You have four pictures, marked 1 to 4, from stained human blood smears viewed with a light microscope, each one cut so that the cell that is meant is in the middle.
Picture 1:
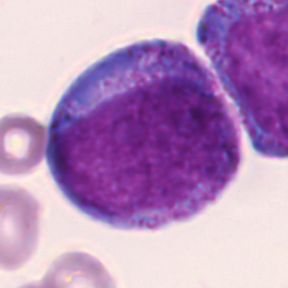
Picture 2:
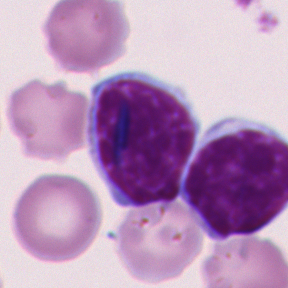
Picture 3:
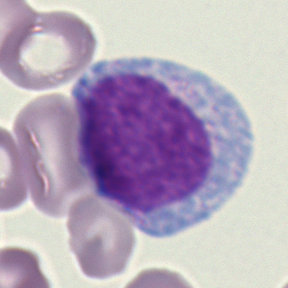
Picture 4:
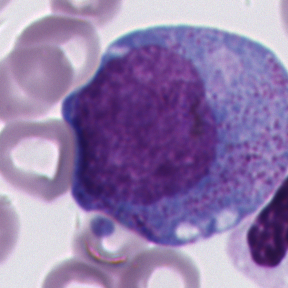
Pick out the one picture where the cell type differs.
2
